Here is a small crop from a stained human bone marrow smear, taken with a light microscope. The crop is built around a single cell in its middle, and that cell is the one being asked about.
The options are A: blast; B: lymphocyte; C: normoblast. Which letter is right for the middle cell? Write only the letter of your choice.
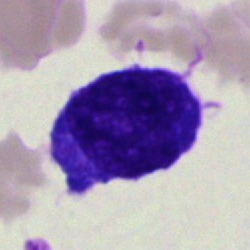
A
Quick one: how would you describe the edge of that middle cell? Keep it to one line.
The outer contour of the cell is irregular, with ragged portions or projections along it.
